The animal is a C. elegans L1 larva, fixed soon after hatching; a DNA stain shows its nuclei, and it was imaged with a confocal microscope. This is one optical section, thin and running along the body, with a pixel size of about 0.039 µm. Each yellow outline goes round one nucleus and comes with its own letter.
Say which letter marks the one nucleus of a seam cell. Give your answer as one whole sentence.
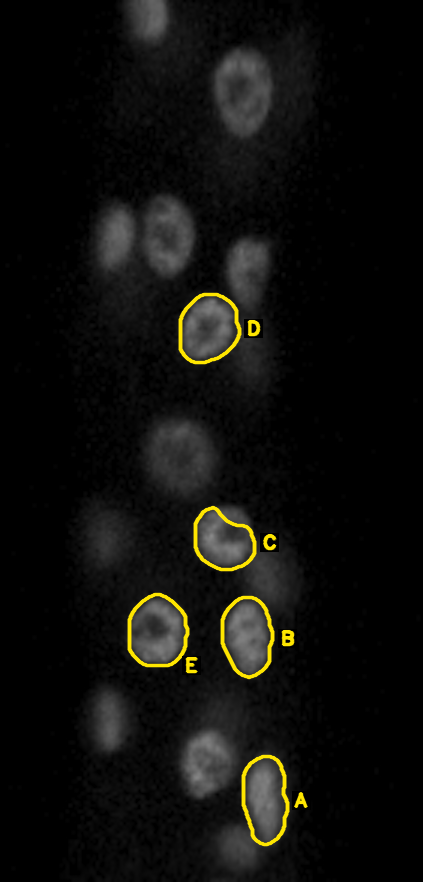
D is the one that belongs to a seam cell.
